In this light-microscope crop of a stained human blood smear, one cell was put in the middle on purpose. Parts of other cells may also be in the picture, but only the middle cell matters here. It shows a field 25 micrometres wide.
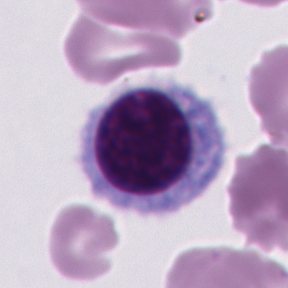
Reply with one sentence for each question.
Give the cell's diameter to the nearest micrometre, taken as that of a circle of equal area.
About 12 micrometres: that is the cell's diameter.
